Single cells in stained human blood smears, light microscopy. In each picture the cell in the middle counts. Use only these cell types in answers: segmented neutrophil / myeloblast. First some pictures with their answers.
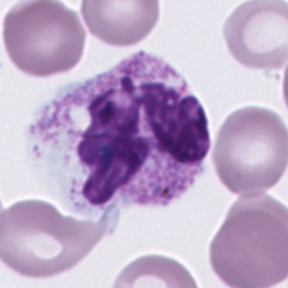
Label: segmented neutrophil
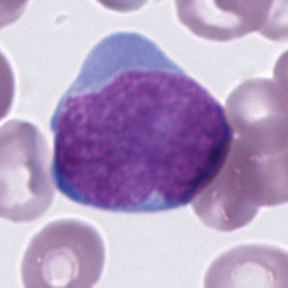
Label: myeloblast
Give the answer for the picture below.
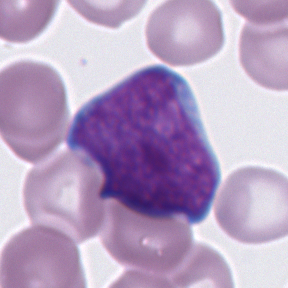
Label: myeloblast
